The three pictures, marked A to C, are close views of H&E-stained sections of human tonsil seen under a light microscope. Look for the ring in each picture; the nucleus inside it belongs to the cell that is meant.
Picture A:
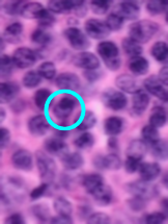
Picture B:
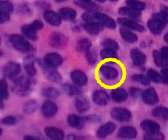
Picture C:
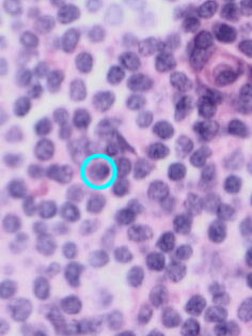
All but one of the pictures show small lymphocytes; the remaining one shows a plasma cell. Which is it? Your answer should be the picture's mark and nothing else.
B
